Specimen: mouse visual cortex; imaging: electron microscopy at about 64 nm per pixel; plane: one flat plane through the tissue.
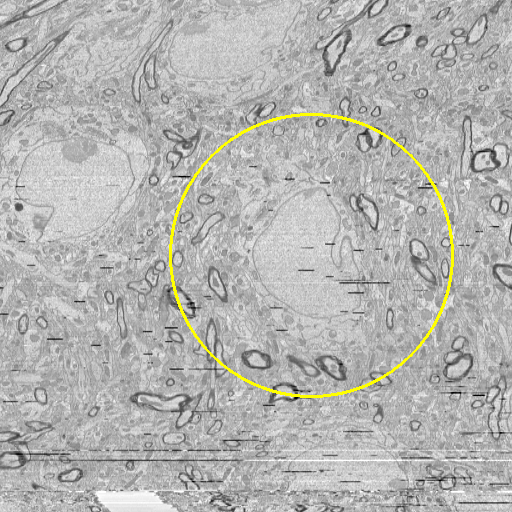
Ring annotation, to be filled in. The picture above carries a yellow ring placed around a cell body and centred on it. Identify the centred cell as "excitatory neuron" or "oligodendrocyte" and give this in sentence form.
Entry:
The cell in the middle of the ring is an excitatory neuron.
